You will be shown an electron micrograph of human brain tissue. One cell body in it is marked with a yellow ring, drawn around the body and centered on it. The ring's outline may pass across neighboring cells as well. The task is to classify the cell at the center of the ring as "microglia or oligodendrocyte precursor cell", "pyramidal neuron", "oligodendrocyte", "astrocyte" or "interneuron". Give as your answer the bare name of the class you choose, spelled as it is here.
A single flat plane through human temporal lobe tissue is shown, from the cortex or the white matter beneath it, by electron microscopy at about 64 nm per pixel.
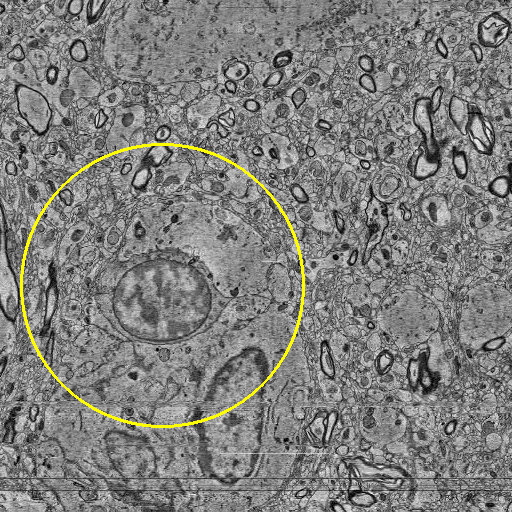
oligodendrocyte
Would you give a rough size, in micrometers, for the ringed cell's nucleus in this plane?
In this plane the nucleus is about 6 micrometres across.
